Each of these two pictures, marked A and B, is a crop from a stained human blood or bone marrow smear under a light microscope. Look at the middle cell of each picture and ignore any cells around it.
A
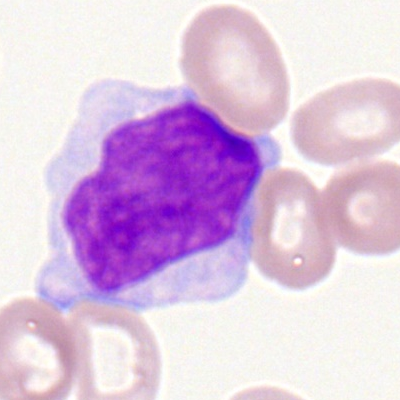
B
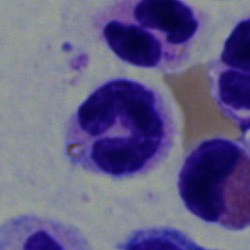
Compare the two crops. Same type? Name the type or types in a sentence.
No, sorry, crop A shows a monocyte and crop B shows a band neutrophil.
